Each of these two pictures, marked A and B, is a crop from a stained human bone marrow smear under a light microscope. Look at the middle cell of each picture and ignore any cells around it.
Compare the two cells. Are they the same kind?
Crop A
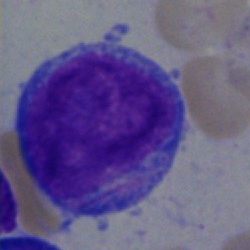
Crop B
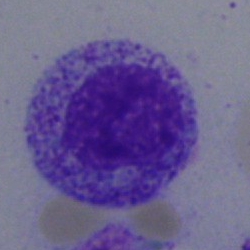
no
